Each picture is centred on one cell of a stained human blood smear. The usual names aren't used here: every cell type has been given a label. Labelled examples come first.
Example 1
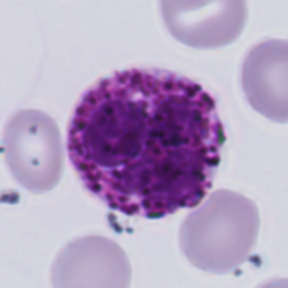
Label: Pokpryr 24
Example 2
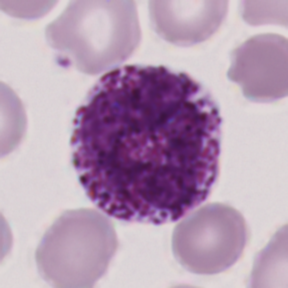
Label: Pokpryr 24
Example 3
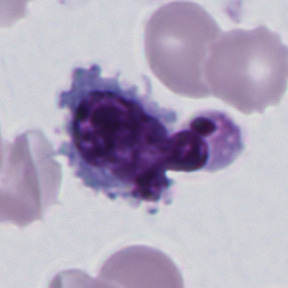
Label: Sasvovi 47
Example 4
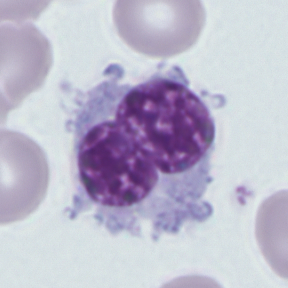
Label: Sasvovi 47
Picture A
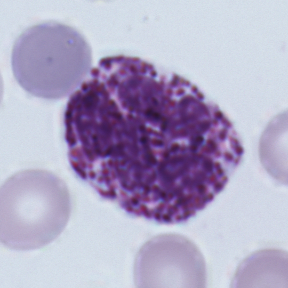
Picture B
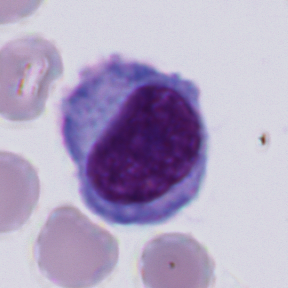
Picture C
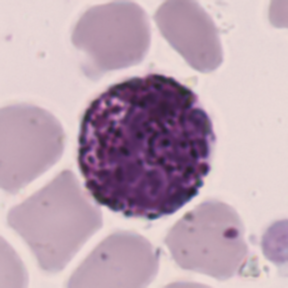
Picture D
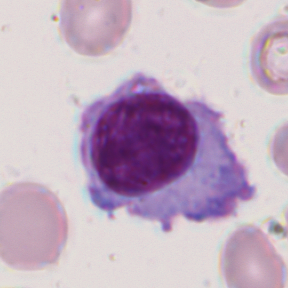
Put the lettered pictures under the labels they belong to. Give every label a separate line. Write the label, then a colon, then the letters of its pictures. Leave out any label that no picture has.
Pokpryr 24: A, C
Sasvovi 47: B, D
